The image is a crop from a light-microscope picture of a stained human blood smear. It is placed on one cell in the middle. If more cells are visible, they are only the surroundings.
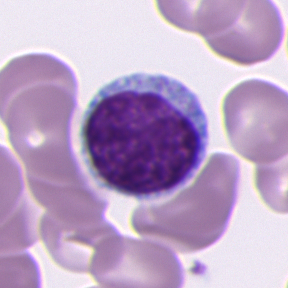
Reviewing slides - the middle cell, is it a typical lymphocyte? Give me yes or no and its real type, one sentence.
Yes, the middle cell in this crop is a typical lymphocyte.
